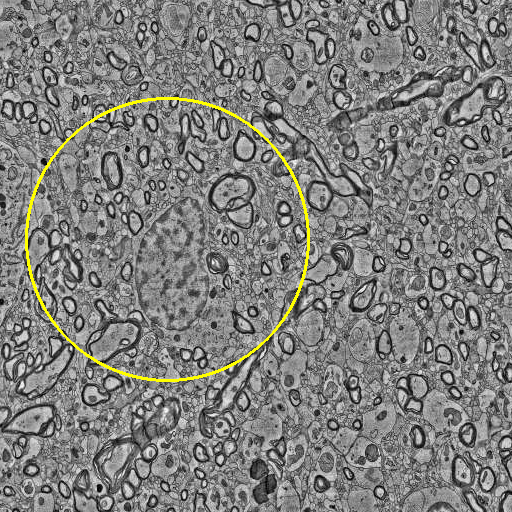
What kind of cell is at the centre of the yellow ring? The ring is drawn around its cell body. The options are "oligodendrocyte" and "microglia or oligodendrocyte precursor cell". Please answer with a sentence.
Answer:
The yellow ring marks the cell body of an oligodendrocyte.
